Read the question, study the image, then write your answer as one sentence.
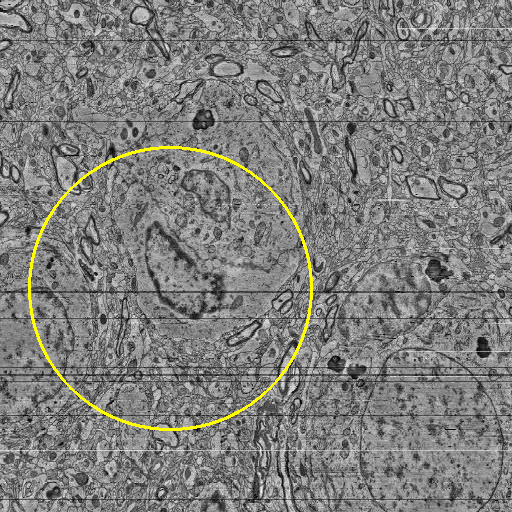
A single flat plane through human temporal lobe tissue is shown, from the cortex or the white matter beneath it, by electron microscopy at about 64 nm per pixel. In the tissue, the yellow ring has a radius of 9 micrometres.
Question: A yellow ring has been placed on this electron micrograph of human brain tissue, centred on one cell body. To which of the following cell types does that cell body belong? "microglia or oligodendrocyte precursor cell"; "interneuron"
That cell body belongs to a microglial cell or oligodendrocyte precursor cell.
